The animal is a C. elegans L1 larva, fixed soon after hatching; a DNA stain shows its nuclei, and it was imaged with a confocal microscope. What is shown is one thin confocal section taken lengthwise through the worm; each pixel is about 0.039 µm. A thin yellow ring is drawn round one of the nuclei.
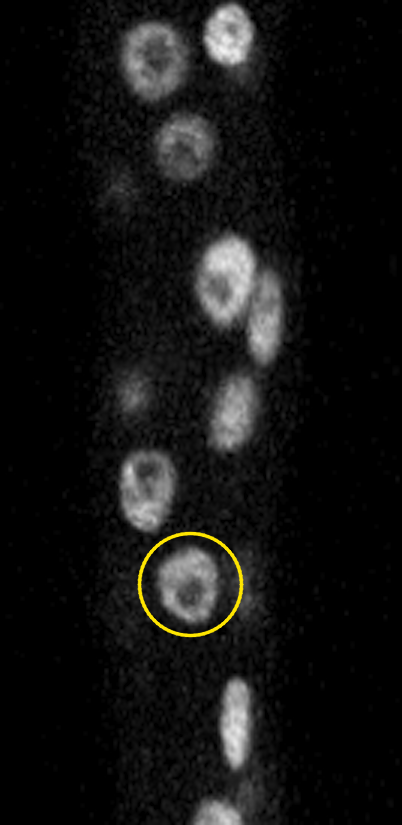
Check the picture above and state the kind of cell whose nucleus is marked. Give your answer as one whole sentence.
This is the nucleus of a seam cell.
